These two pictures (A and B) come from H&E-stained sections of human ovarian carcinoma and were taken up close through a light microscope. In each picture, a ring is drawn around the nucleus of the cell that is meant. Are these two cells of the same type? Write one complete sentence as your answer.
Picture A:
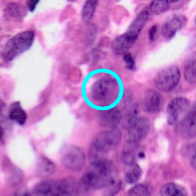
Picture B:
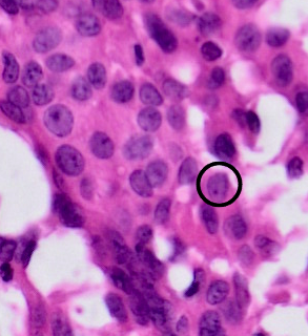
Yes, both cells are carcinoma cells.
